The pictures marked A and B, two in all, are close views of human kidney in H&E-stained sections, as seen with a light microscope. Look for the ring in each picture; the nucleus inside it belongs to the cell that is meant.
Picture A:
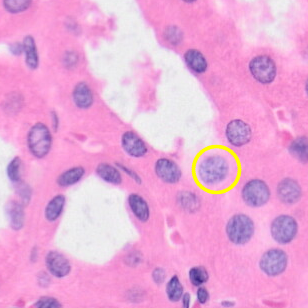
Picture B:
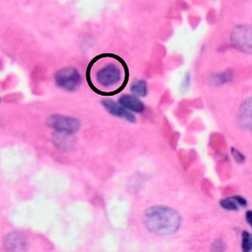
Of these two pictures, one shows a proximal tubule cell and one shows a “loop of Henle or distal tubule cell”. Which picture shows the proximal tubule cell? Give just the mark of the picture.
B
